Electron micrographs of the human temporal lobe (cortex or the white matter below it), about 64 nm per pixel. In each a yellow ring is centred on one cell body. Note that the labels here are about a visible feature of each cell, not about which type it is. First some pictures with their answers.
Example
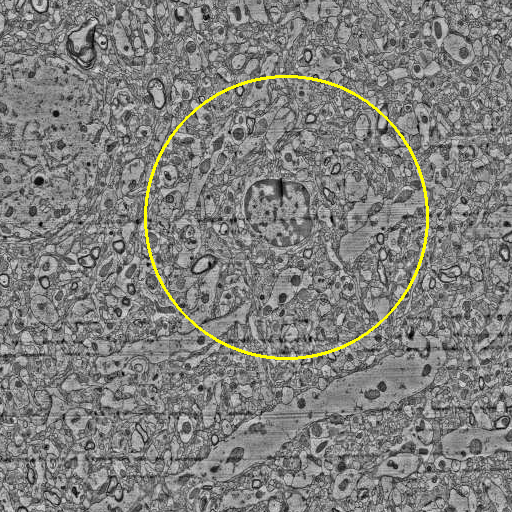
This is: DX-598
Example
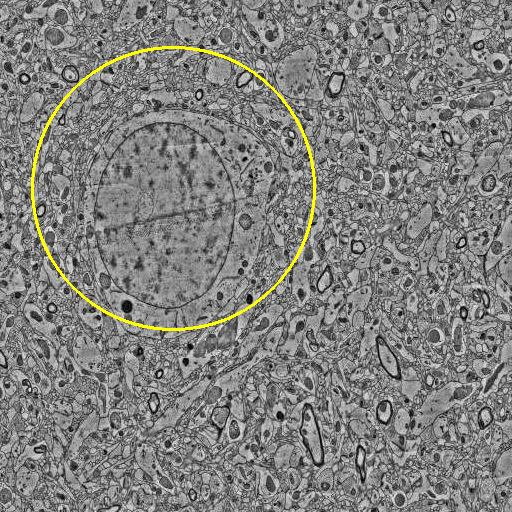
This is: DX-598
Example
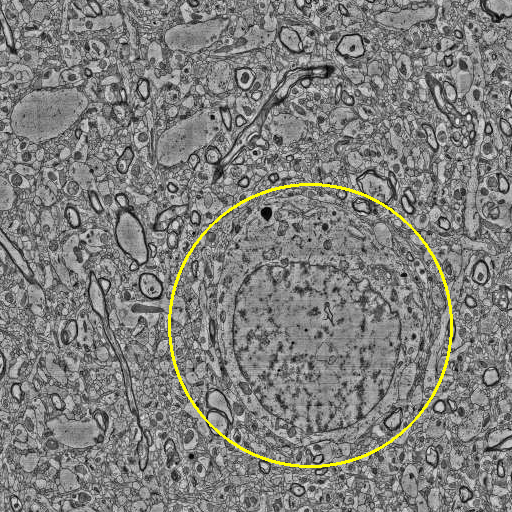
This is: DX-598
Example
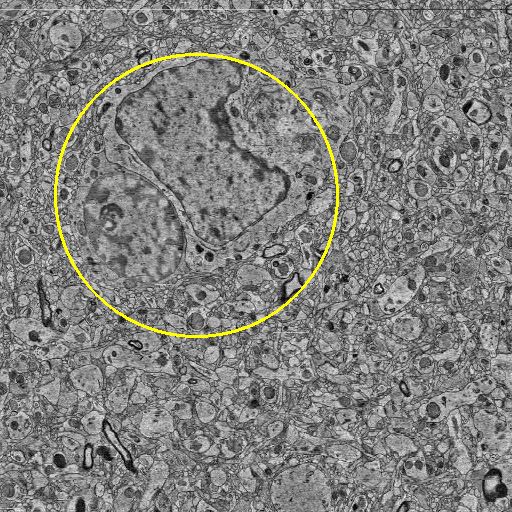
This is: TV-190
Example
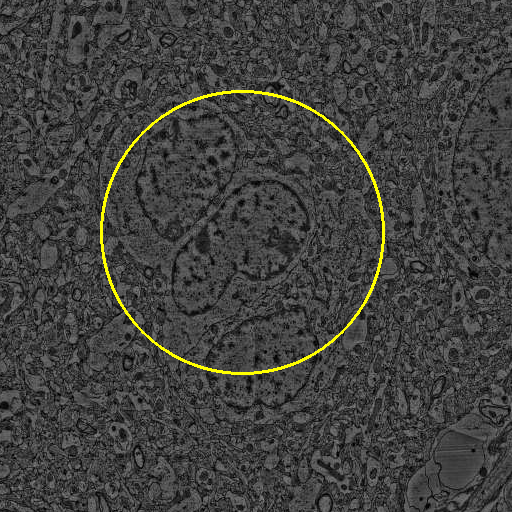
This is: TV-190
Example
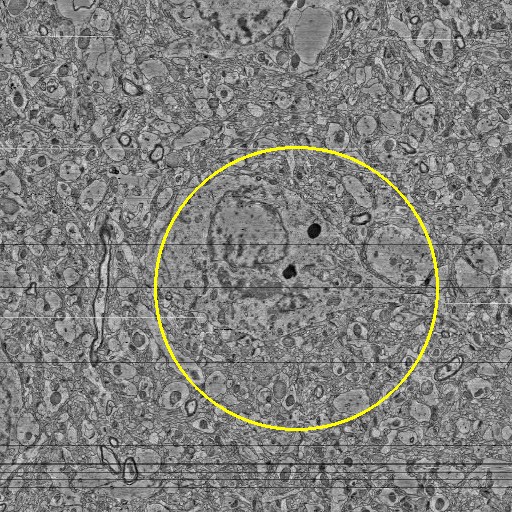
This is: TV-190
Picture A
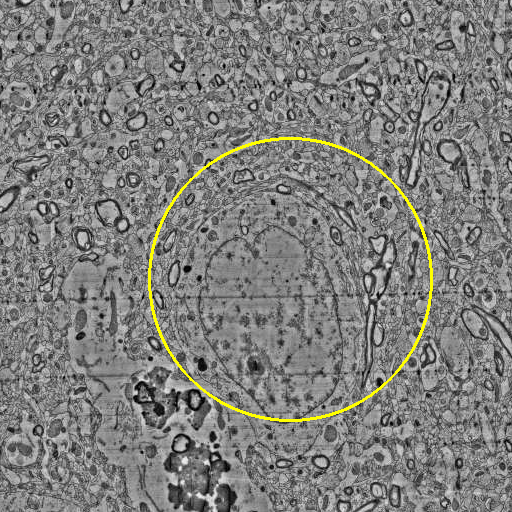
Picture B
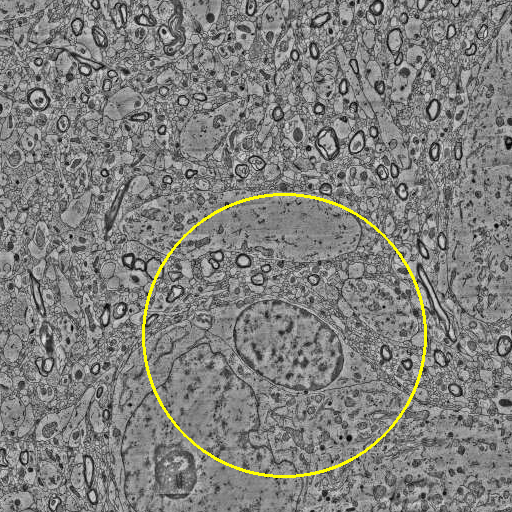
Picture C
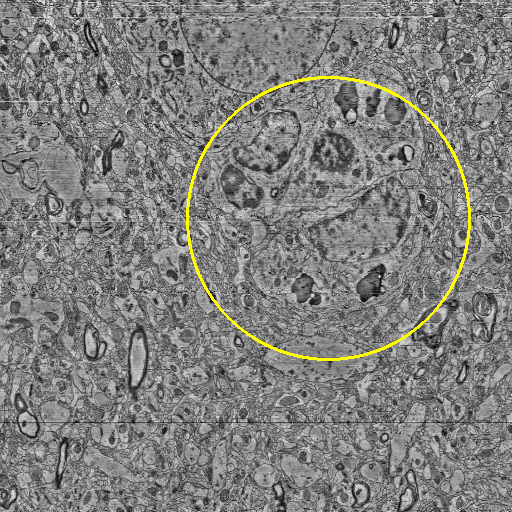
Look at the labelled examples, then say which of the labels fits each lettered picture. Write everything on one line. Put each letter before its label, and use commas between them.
A TV-190, B DX-598, C DX-598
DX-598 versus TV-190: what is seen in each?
Seen in DX-598: smooth nuclear envelopes without deep folds; seen in TV-190: deeply folded or indented nuclear envelopes.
